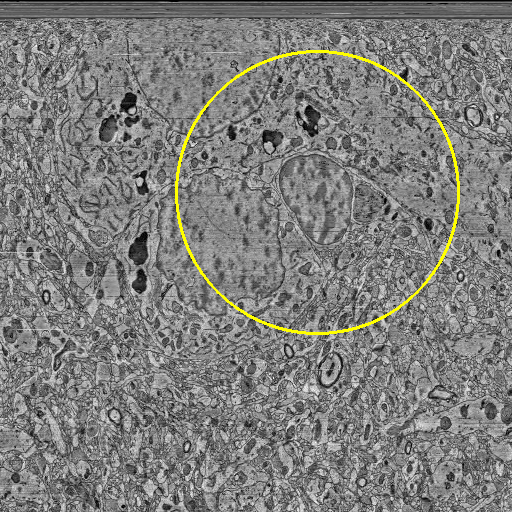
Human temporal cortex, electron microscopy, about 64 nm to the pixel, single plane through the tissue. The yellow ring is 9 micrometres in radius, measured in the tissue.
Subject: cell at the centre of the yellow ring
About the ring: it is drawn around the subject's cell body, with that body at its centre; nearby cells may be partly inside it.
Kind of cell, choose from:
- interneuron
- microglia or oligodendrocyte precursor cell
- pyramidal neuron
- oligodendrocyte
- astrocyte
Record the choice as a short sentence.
The subject cell is a microglial cell or oligodendrocyte precursor cell.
